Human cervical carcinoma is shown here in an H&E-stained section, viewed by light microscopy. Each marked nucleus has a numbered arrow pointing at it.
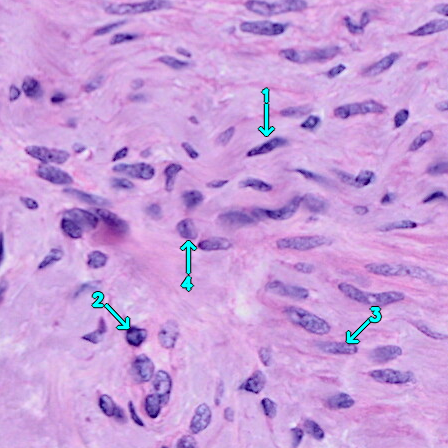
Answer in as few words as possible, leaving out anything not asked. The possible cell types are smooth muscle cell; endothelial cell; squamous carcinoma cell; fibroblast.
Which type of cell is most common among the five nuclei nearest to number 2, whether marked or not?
endothelial cell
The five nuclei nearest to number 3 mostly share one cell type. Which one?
smooth muscle cell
